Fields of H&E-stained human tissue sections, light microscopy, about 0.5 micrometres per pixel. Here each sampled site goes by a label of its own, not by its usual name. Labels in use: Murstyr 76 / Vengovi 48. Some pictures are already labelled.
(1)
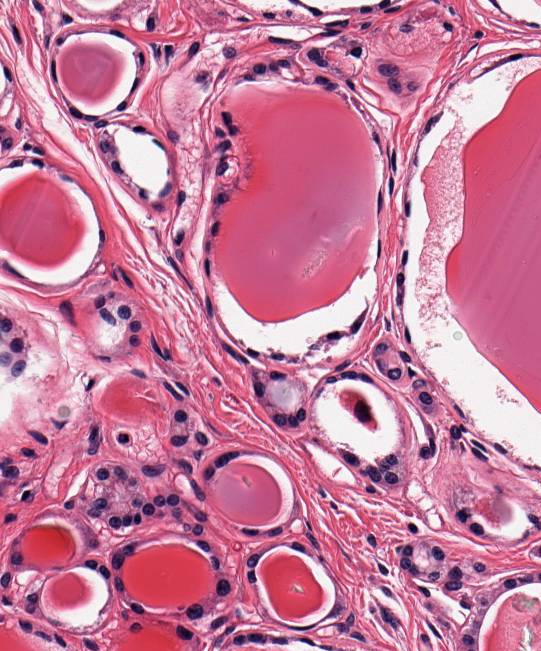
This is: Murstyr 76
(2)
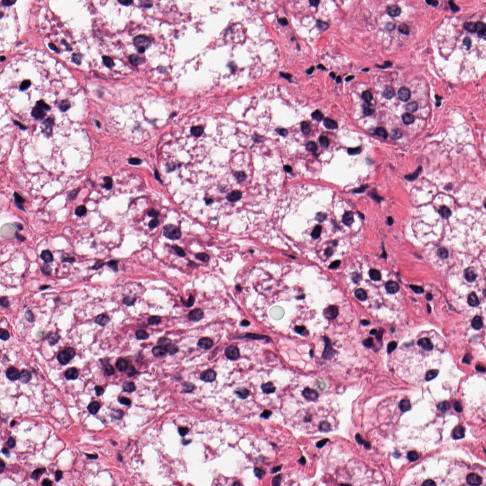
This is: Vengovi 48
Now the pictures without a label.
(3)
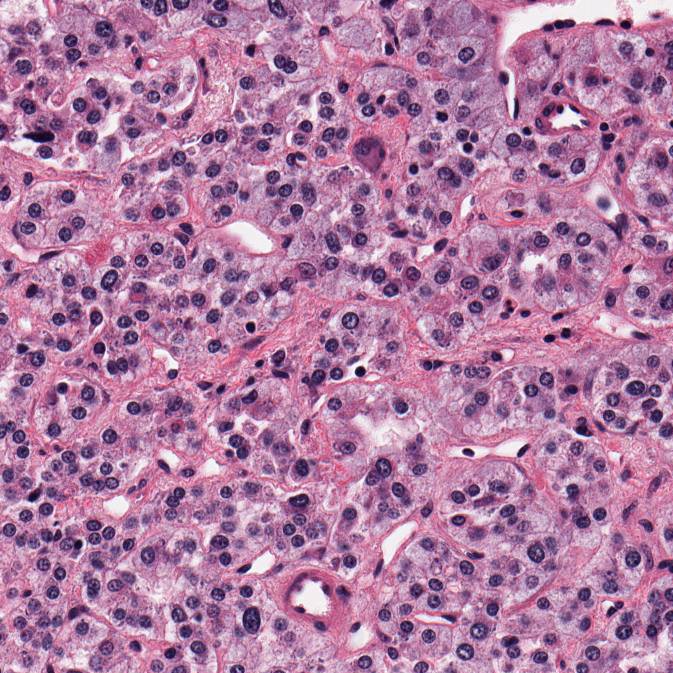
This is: Vengovi 48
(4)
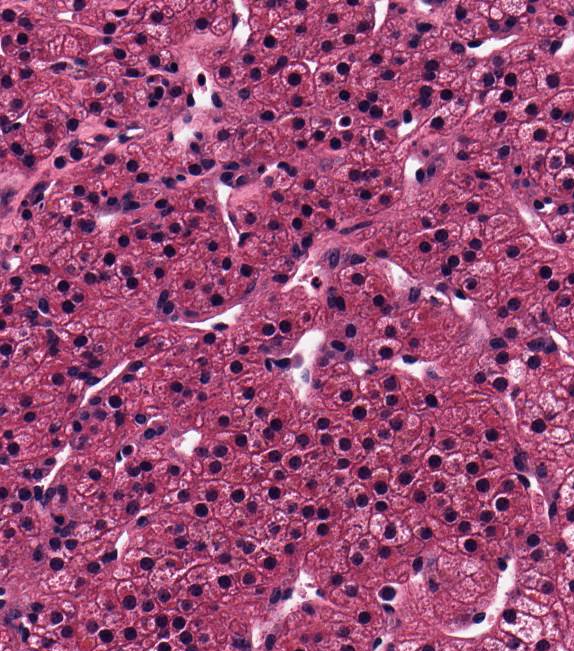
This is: Vengovi 48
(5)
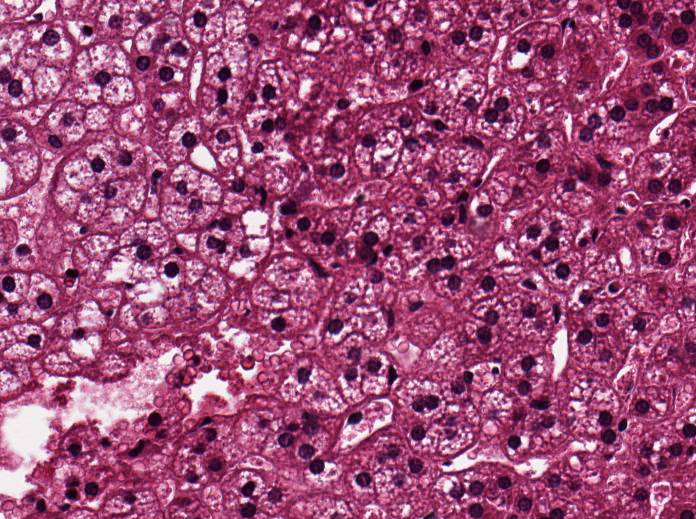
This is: Vengovi 48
